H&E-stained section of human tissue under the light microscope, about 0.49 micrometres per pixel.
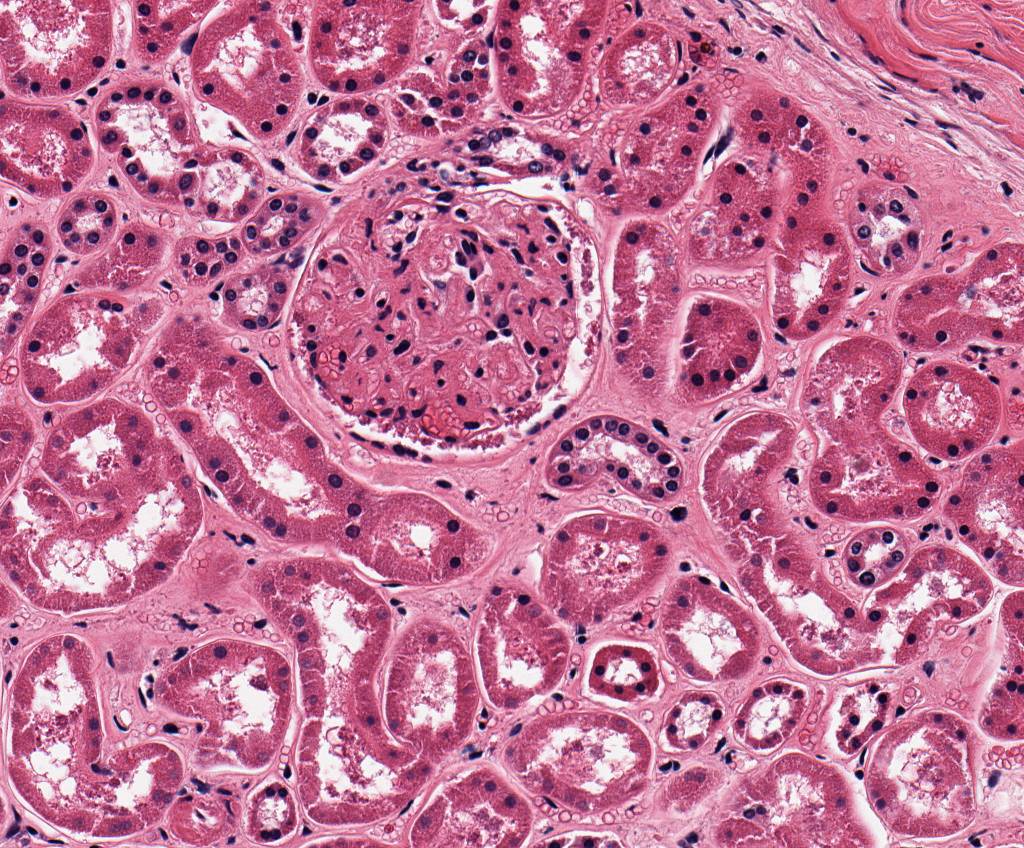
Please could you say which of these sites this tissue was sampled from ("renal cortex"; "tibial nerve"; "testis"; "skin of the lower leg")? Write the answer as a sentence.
The site this tissue was sampled from is the renal cortex.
